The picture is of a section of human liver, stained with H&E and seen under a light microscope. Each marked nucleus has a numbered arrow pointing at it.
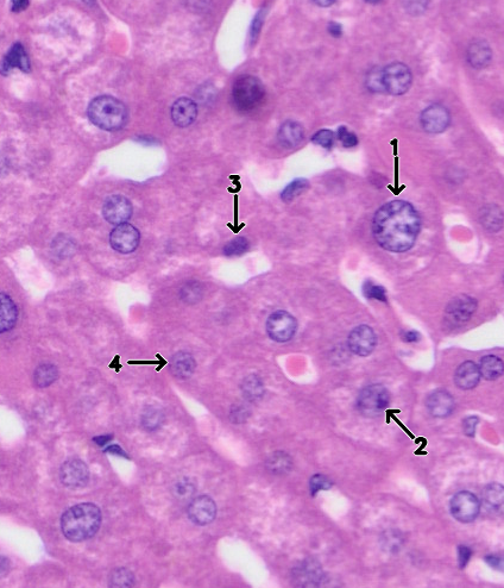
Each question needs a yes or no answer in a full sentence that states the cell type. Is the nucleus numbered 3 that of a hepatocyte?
No, number 3 identifies a Kupffer cell, not a hepatocyte.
